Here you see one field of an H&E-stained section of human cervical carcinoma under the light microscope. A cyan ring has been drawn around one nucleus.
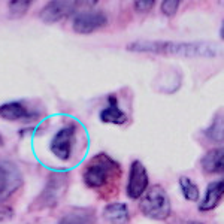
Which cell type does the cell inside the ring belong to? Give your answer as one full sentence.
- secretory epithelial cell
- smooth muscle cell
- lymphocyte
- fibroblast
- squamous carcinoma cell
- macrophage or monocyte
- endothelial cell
In cellular terms, the cell inside the ring is a lymphocyte.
